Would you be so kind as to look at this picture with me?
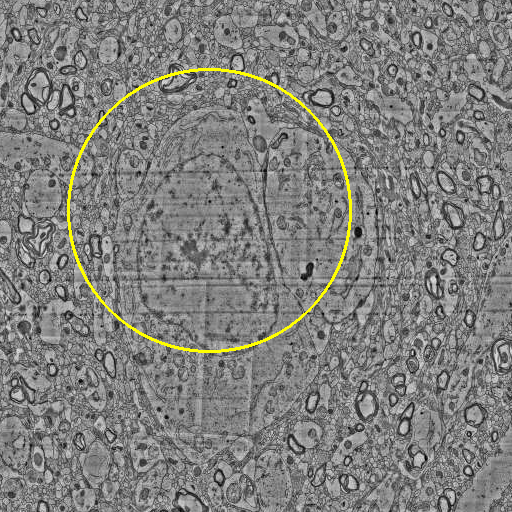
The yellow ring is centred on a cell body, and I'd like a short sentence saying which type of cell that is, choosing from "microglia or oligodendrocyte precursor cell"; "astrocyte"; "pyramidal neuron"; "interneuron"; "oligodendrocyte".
The cell body in the ring belongs to an interneuron.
